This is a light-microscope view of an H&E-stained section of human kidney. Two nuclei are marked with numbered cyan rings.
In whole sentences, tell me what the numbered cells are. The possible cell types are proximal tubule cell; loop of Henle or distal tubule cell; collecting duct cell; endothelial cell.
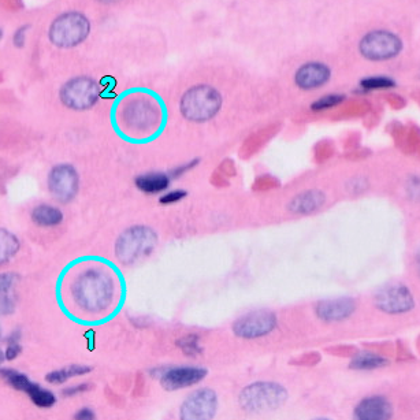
Cell 1 is a loop of Henle or distal tubule cell. Cell 2 is a proximal tubule cell.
